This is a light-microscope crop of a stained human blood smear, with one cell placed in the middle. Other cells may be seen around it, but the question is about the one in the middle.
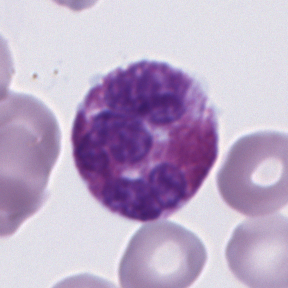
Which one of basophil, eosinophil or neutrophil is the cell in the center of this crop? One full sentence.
Classification of the middle cell gives an eosinophil.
